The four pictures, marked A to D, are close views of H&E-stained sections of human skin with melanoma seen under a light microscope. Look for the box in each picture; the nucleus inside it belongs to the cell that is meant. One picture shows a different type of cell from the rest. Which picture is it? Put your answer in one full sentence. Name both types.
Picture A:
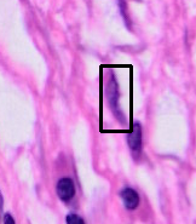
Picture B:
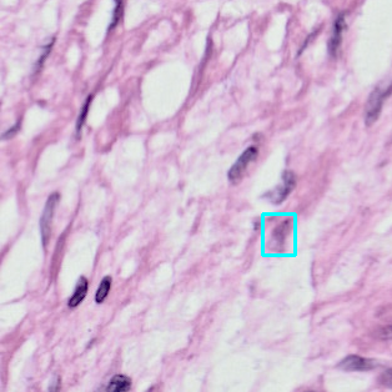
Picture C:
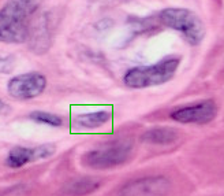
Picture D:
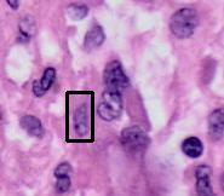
Picture D is the odd one out: it shows a “macrophage or monocyte”, while the others show “fibroblasts or myofibroblasts”.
